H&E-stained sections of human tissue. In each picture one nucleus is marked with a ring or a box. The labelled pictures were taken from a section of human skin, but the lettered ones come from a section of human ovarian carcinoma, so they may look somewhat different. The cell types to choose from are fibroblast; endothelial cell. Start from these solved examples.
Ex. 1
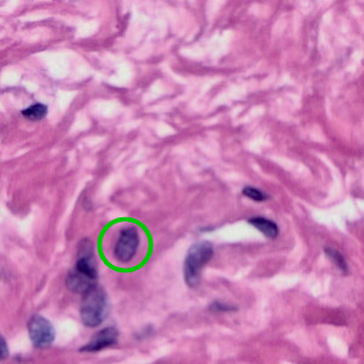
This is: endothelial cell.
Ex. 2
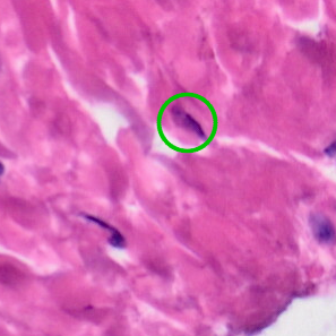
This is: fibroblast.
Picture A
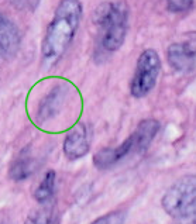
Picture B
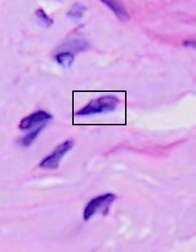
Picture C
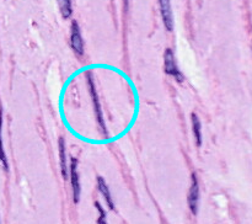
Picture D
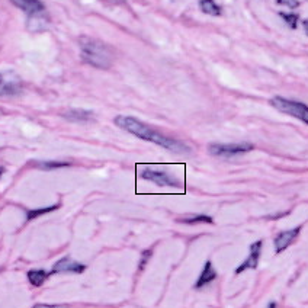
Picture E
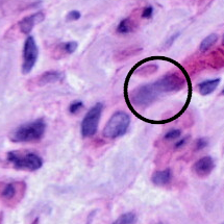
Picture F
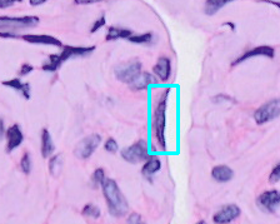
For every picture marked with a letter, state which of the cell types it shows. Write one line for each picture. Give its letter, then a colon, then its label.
A: fibroblast.
B: fibroblast.
C: fibroblast.
D: fibroblast.
E: endothelial cell.
F: endothelial cell.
